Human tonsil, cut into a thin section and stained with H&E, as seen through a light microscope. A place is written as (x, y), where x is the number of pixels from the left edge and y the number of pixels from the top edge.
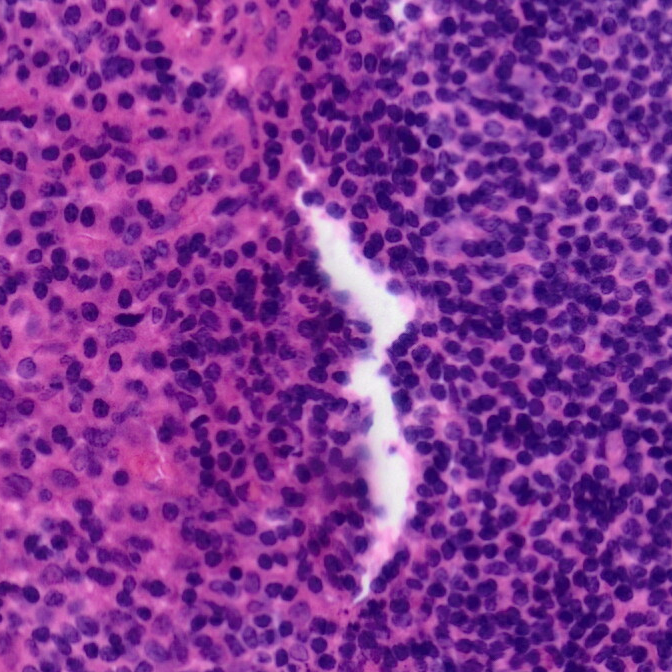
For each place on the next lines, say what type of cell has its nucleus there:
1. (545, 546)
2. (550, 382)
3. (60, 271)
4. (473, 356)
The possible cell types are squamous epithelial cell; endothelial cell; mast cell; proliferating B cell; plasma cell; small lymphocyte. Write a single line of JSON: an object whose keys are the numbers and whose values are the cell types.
{"1": "small lymphocyte", "2": "small lymphocyte", "3": "plasma cell", "4": "small lymphocyte"}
